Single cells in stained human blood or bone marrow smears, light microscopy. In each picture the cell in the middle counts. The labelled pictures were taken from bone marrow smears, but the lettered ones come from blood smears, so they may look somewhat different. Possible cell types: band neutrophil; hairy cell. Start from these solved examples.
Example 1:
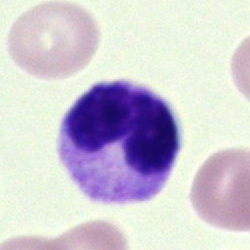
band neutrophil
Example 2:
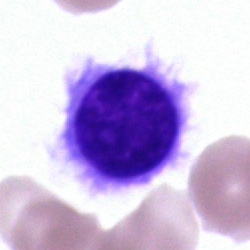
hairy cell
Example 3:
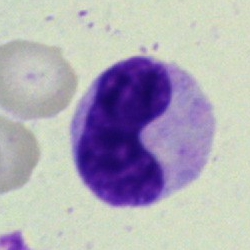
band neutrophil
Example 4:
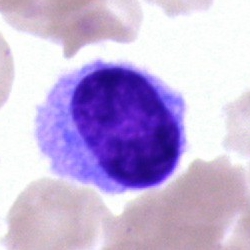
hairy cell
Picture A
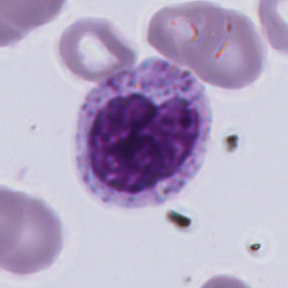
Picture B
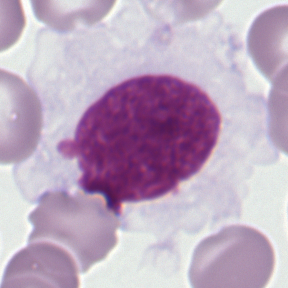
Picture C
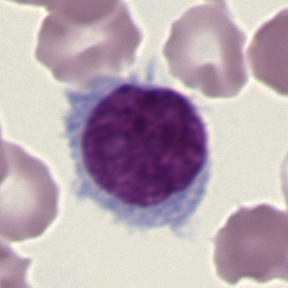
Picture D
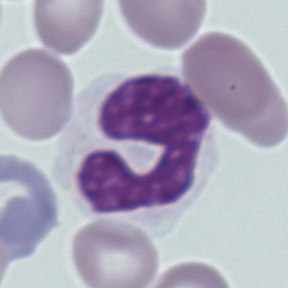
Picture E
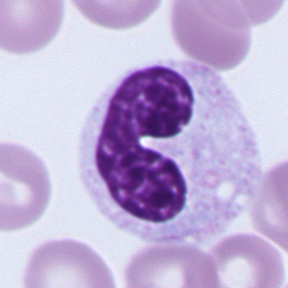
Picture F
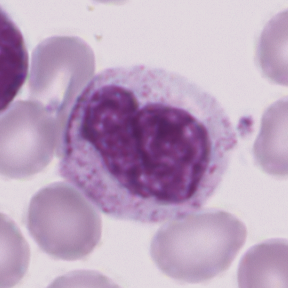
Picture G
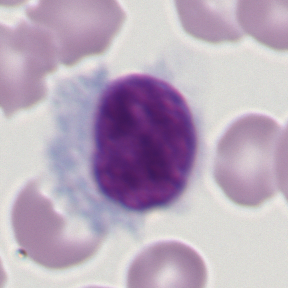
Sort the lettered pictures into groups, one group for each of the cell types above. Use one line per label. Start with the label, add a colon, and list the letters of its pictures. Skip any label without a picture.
band neutrophil: A, D, E, F
hairy cell: B, C, G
